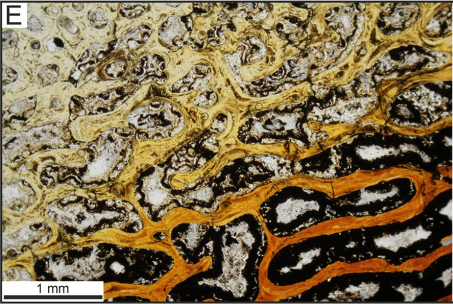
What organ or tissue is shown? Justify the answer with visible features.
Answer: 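Cancellous bone. A network of thin bony struts encloses many cavities. The struts branch and join around dark-filled spaces.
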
